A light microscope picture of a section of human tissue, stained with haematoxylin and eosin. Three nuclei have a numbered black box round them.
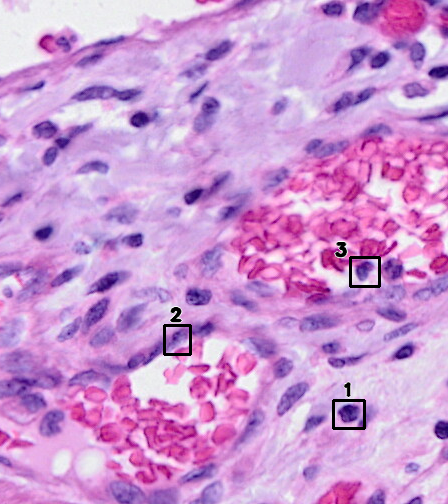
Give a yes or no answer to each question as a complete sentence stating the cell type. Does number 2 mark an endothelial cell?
Yes, the cell shown as number 2 is an endothelial cell.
